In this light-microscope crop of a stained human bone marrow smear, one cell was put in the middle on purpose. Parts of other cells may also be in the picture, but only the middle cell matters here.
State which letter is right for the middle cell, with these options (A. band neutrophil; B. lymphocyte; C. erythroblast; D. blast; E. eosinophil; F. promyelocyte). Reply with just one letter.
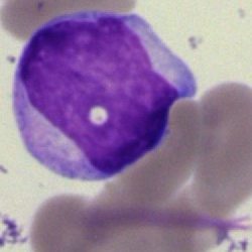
D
